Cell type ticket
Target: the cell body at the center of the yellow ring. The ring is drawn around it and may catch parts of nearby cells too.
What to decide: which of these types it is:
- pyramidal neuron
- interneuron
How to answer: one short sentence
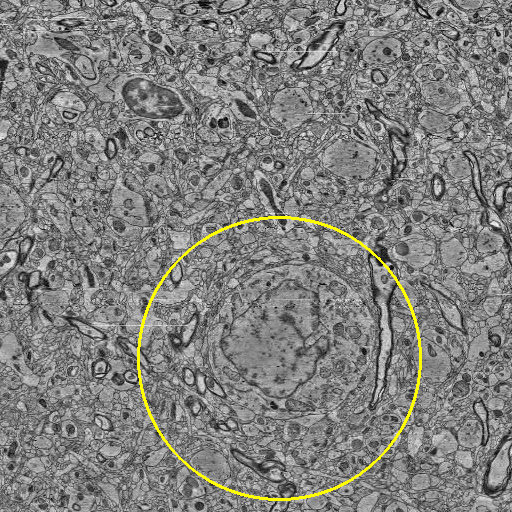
The cell at the center of the ring is a pyramidal neuron.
